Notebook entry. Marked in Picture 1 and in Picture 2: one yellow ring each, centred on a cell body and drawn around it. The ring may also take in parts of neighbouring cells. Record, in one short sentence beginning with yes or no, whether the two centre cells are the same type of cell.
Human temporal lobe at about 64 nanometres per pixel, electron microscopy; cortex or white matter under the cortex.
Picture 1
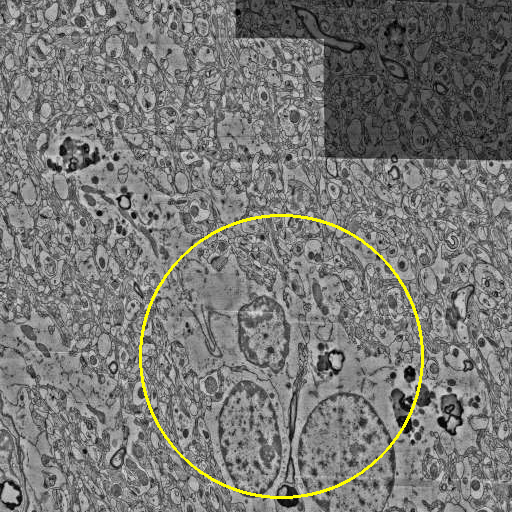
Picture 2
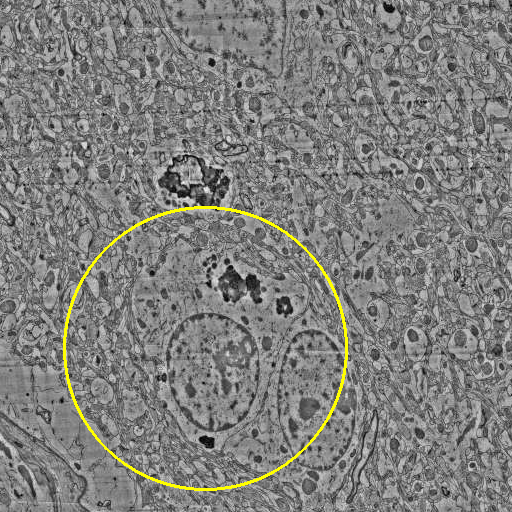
Yes, both are the same type of cell.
